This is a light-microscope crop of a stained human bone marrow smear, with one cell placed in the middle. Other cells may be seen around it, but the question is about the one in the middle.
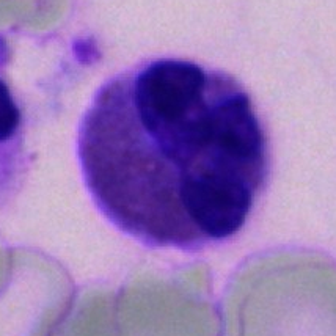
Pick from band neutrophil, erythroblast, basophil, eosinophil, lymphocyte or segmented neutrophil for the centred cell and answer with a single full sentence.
The cell around which this crop is centred is an eosinophil.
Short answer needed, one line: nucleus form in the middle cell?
Nuclear material here is separated into two or more segments.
